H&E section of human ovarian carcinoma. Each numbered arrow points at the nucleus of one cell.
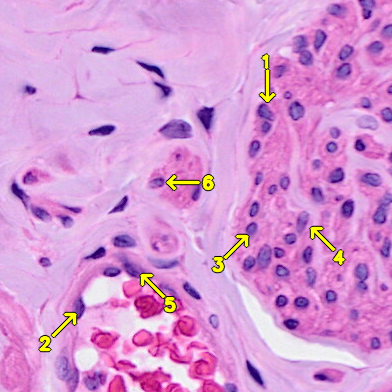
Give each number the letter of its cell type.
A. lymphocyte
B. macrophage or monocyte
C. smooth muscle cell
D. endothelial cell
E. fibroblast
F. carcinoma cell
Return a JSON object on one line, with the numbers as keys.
{"1": "C", "2": "D", "3": "C", "4": "C", "5": "D", "6": "C"}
